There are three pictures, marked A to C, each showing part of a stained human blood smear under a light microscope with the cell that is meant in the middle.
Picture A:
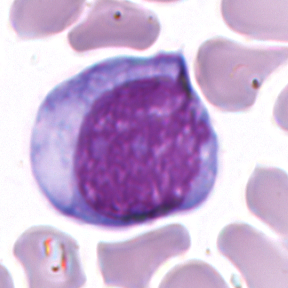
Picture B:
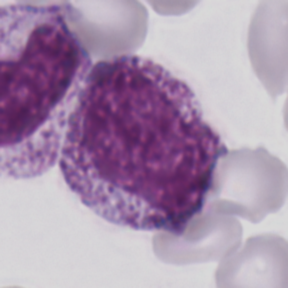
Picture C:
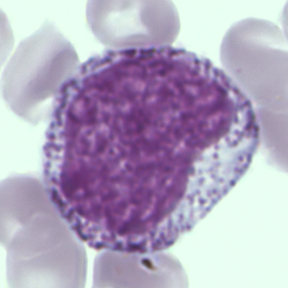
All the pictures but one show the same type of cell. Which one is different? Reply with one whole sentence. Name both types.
The different one is picture A; it shows a plasma cell, whereas all the others show myelocytes.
